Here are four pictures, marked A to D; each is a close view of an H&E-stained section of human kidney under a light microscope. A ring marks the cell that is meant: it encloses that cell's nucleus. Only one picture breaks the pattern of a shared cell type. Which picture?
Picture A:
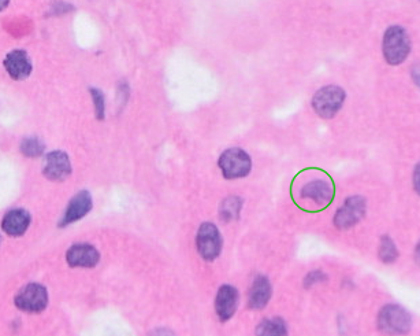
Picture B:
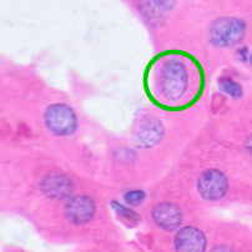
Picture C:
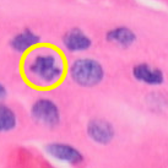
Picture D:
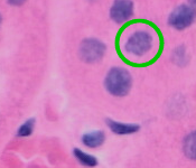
A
